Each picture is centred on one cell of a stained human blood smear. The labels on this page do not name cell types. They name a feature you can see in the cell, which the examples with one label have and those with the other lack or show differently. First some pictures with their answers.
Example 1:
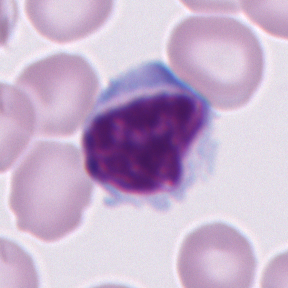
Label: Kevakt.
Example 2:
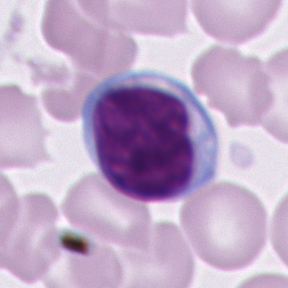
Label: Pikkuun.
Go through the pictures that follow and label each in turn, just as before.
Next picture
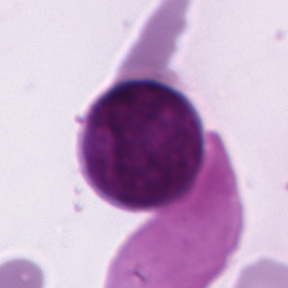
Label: Pikkuun.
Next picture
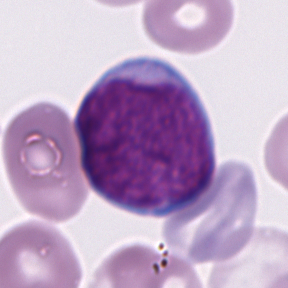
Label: Pikkuun.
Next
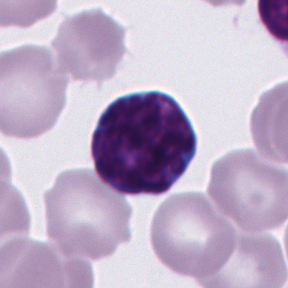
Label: Pikkuun.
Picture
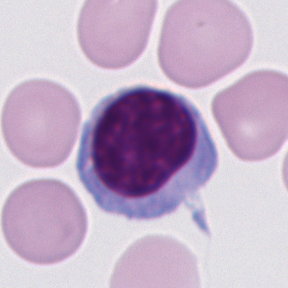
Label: Kevakt.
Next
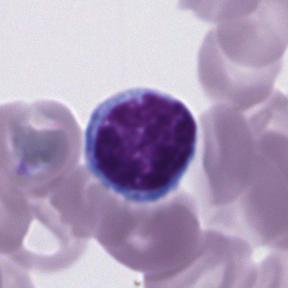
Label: Pikkuun.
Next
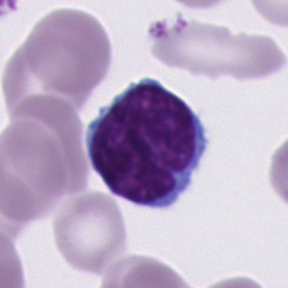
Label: Kevakt.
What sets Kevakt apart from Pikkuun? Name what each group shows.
Kevakt: ragged outline or projections; Pikkuun: smooth outline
